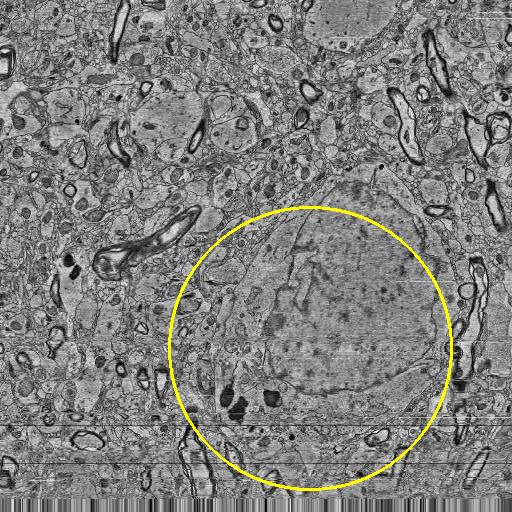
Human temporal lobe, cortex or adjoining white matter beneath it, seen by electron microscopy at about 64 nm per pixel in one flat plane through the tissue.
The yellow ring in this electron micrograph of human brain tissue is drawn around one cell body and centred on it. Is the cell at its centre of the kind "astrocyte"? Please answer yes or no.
no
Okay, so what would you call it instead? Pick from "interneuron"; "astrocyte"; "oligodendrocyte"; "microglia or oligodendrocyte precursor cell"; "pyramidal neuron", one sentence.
The ring holds an interneuron at its centre.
